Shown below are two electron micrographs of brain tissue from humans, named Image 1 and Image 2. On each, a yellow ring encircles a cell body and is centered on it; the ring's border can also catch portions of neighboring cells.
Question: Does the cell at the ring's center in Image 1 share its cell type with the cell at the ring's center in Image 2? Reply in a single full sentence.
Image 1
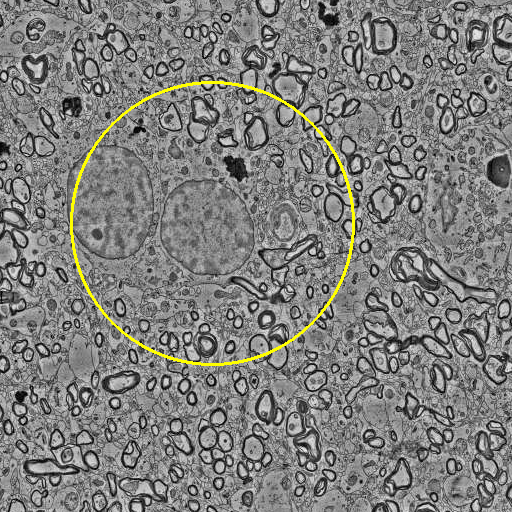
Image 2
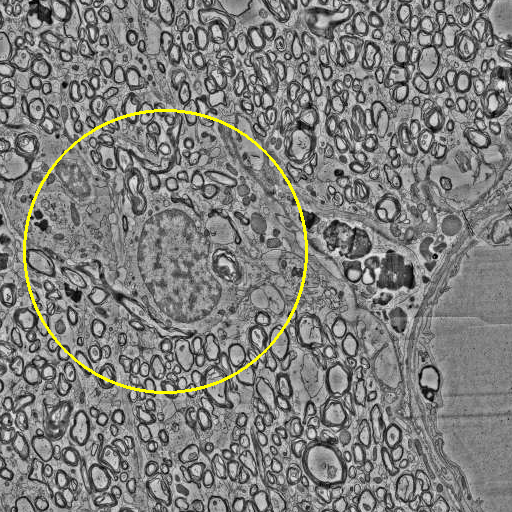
Yes, the two cells at the ring centers, in Image 1 and Image 2, share one cell type.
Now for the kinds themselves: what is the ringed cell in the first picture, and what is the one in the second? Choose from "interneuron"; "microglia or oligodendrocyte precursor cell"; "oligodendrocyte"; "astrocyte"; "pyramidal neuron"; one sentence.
Both the first and the second picture show an oligodendrocyte in the ring.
